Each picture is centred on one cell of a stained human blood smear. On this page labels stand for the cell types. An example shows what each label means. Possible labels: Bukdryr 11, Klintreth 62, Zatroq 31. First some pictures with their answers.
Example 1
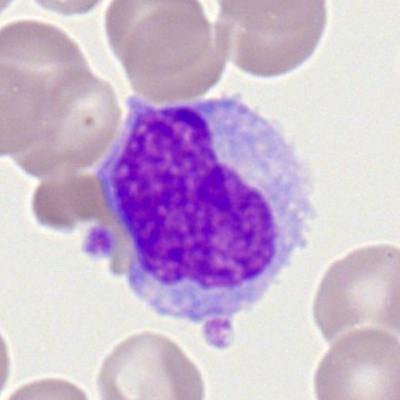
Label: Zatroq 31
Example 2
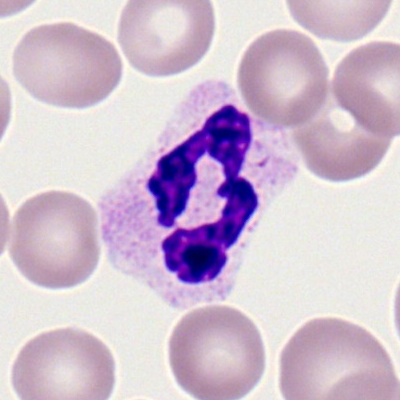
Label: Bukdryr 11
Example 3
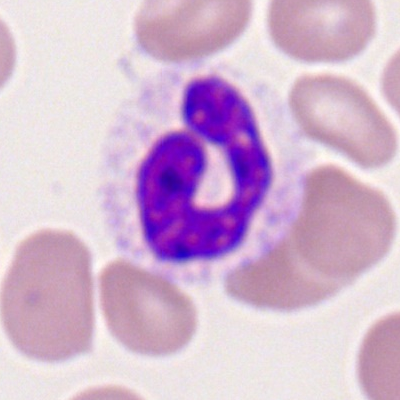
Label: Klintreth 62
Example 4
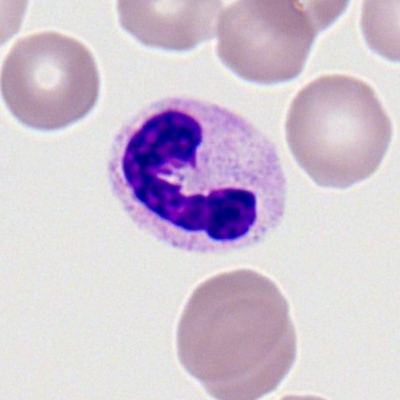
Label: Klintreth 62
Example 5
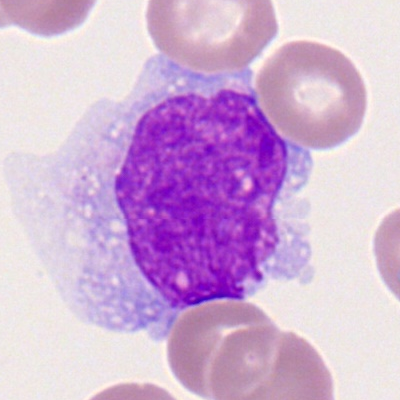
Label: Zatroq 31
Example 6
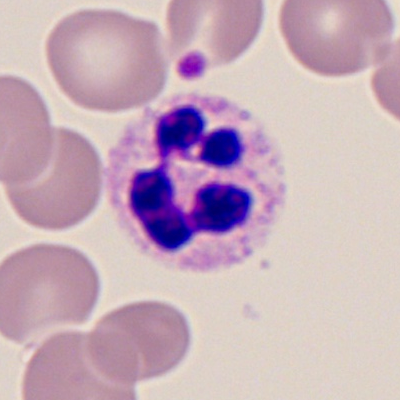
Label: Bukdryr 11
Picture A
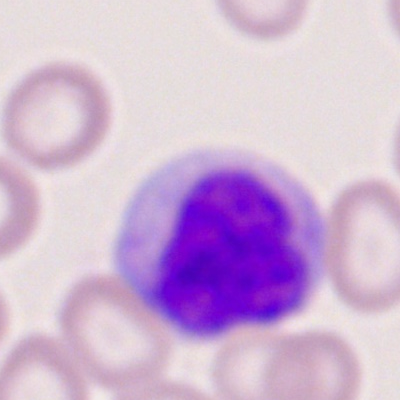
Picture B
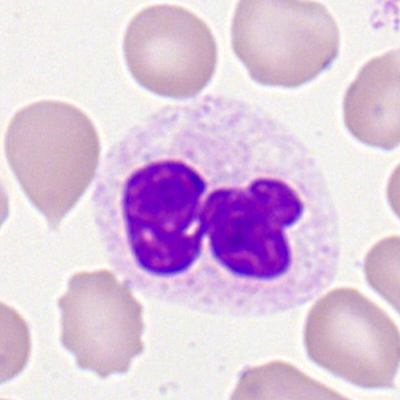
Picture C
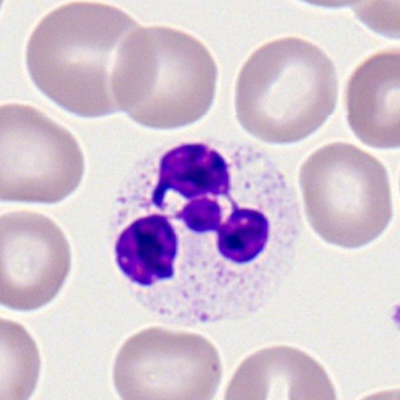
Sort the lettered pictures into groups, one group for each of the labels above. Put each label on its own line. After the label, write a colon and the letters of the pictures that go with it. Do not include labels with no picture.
Bukdryr 11: B, C
Zatroq 31: A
